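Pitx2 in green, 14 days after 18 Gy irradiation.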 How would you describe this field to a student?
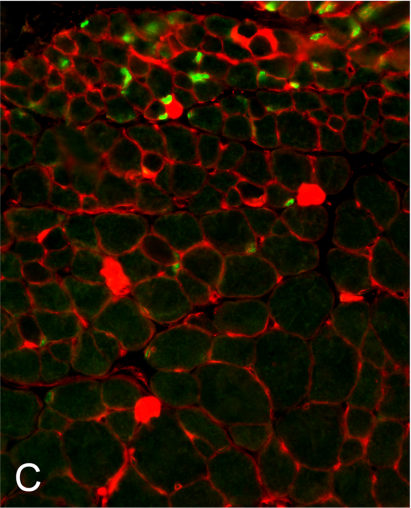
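Cross-section of skeletal muscle with many myofiber profiles of varying size, the smaller ones concentrated toward the top, each bounded by a red outline. Bright green spots lie at fiber edges, more frequent among the small fibers, and a few rounded intensely red bodies occupy interstitial spaces.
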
